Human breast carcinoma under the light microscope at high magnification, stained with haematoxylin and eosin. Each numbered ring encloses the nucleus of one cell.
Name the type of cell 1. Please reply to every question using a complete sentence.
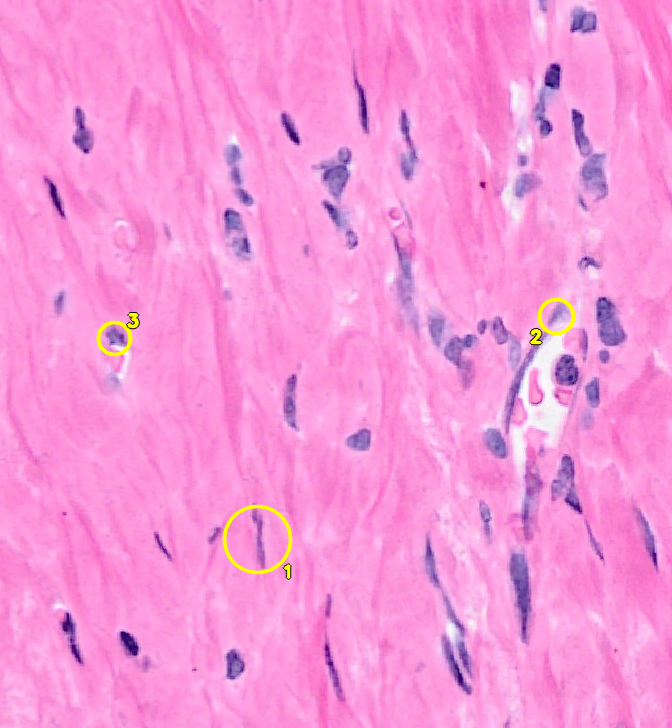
Among the marked nuclei, number 1 belongs to a fibroblast.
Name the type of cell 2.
The nucleus marked 2 is the nucleus of an endothelial cell.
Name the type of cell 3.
Identified by the number 3, the cell is an endothelial cell.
